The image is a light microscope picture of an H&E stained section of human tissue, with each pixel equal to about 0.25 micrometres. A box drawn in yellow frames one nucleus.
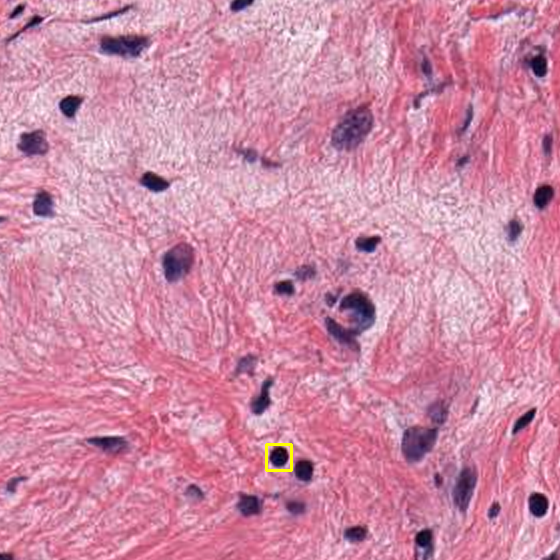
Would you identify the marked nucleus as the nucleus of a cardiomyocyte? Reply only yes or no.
no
